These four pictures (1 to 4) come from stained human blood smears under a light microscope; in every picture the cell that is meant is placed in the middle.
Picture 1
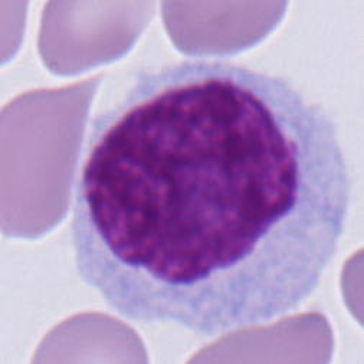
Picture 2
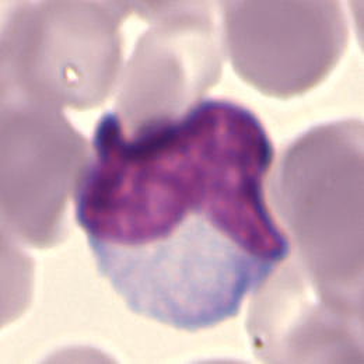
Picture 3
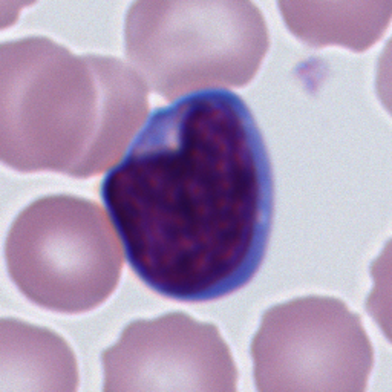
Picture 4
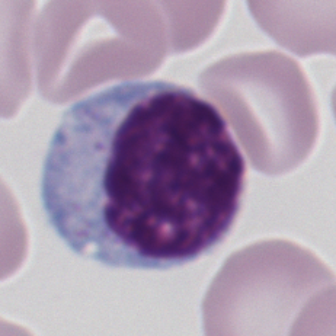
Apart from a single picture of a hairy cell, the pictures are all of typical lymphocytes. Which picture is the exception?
1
